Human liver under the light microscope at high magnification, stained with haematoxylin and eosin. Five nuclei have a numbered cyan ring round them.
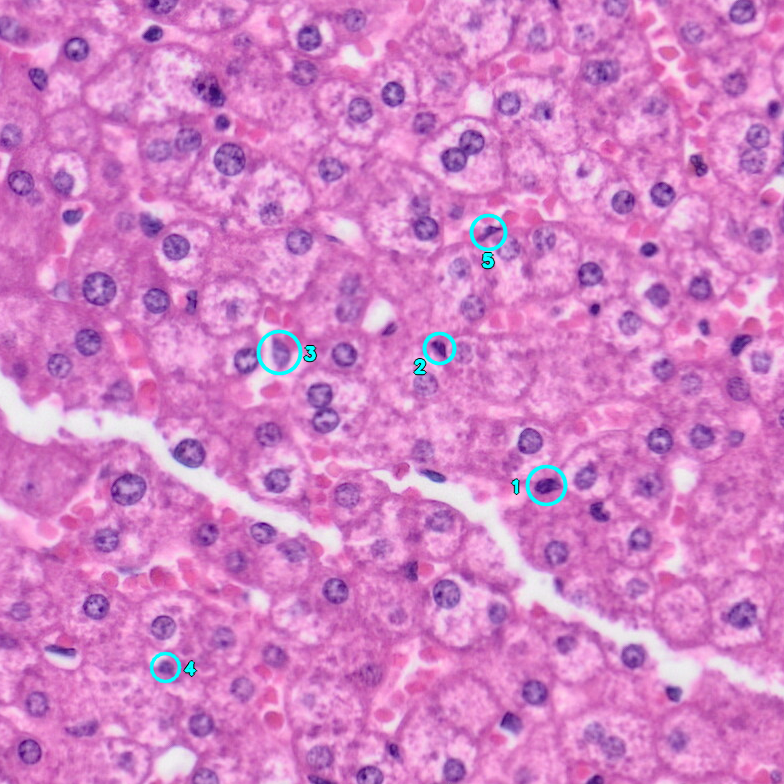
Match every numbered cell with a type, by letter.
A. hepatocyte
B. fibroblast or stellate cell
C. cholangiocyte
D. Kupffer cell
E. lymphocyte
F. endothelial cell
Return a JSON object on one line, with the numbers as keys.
{"1": "B", "2": "B", "3": "D", "4": "E", "5": "F"}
